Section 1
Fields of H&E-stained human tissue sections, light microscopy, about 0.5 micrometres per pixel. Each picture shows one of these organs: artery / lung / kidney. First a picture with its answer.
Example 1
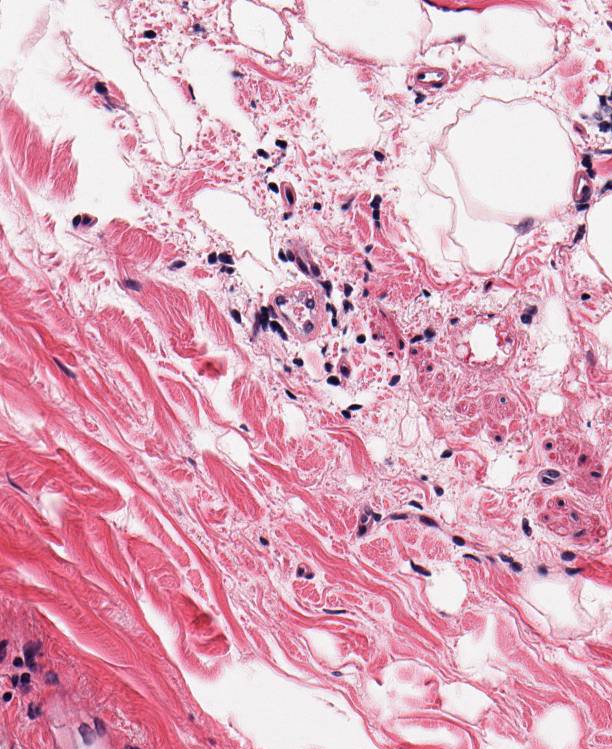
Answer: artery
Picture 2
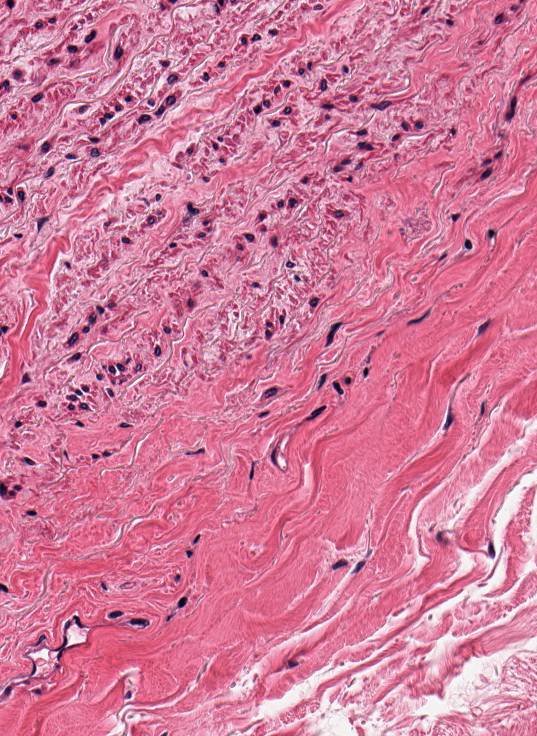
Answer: artery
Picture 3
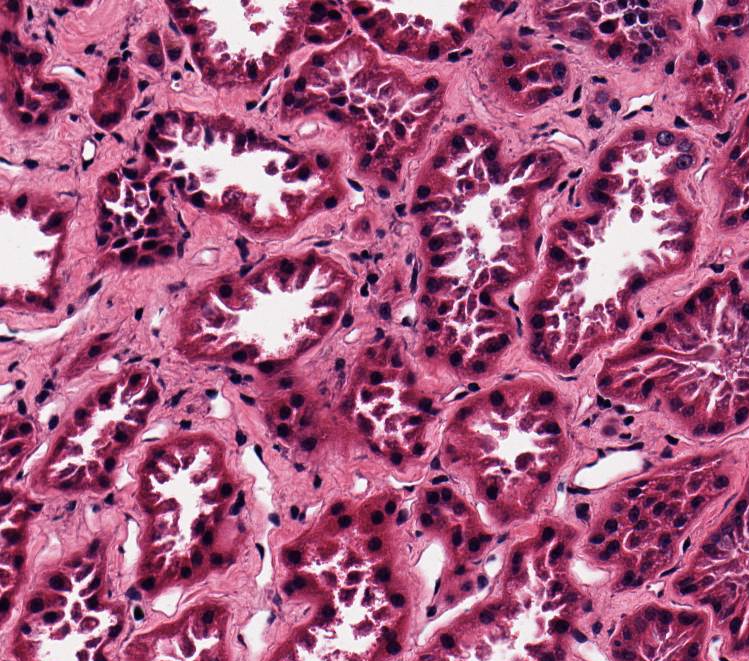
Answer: kidney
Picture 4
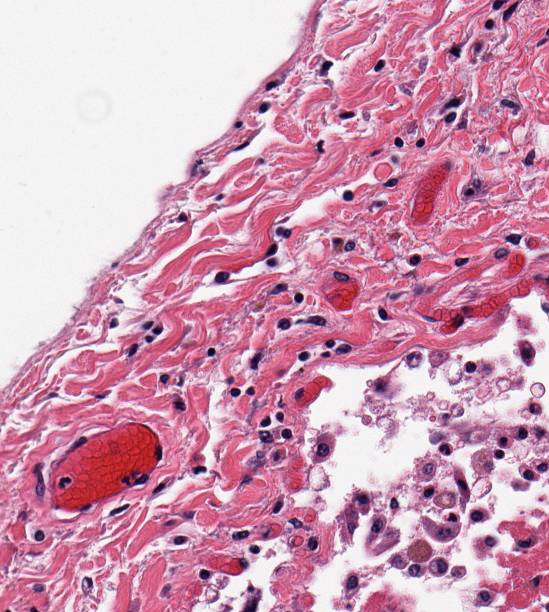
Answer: lung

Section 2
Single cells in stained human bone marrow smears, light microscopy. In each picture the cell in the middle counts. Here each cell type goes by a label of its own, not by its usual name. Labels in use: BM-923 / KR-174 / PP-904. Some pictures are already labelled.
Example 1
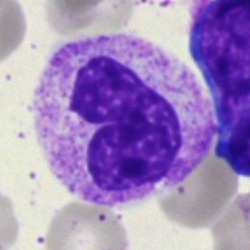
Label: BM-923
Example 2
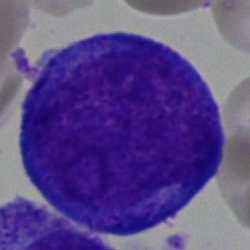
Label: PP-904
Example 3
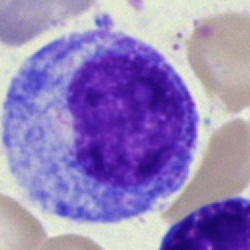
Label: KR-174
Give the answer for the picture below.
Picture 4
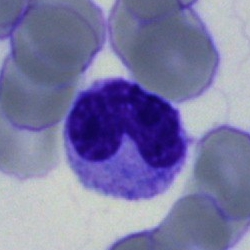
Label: BM-923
